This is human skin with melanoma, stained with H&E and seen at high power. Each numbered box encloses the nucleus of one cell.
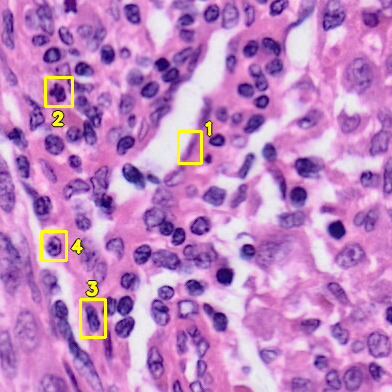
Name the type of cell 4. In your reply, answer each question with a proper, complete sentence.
The cell assigned the number 4 is a lymphocyte.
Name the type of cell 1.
Cell 1, as marked in the section, is an endothelial cell.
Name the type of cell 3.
Denoted by the label 3 in the section is a lymphocyte.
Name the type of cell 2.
The cell indicated with the number 2 is classed as a lymphocyte.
